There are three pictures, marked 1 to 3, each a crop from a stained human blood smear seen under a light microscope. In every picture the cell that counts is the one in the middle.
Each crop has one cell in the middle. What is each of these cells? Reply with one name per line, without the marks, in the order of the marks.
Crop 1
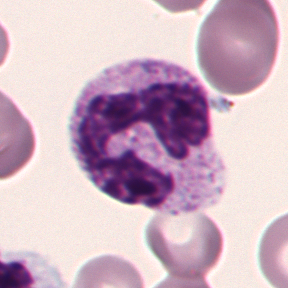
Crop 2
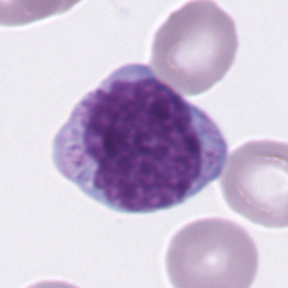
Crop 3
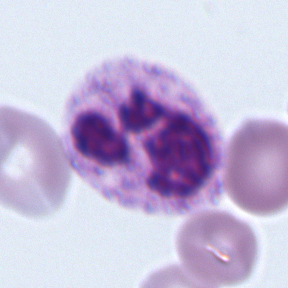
segmented neutrophil
atypical promyelocyte
segmented neutrophil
